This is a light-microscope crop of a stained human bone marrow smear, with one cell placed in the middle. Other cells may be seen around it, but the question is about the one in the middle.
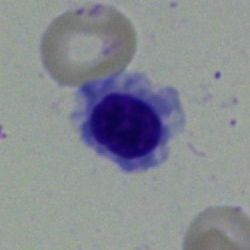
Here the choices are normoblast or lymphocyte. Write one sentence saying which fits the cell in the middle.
The identification for the central cell is a normoblast.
